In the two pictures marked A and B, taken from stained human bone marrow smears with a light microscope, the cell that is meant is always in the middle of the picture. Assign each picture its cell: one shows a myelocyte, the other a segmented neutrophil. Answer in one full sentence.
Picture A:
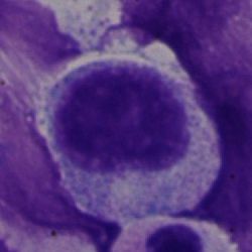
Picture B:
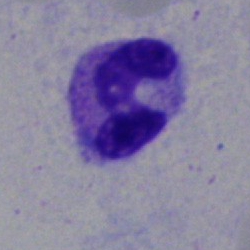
In picture A the cell is a myelocyte; in picture B, a segmented neutrophil.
